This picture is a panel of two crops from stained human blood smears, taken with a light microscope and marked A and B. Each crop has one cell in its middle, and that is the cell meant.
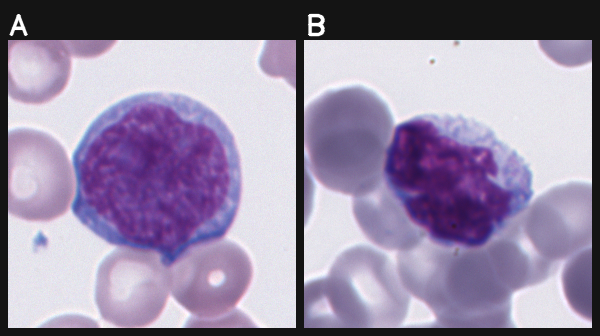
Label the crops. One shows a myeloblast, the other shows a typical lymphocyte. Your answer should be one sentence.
As for crop A, it is a myeloblast; crop B, by contrast, is a typical lymphocyte.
